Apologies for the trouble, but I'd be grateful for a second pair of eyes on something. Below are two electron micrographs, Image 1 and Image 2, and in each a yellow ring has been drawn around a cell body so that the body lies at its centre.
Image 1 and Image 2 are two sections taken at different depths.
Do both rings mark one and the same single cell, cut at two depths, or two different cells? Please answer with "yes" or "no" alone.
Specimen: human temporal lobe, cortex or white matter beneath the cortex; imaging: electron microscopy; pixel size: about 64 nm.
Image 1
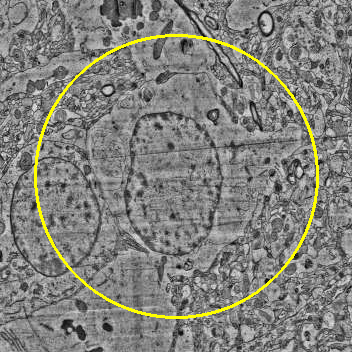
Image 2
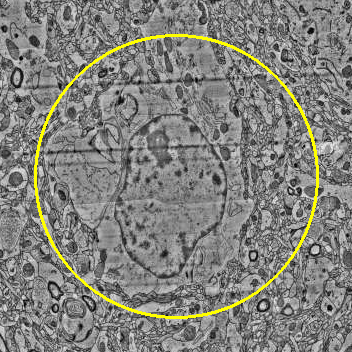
no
